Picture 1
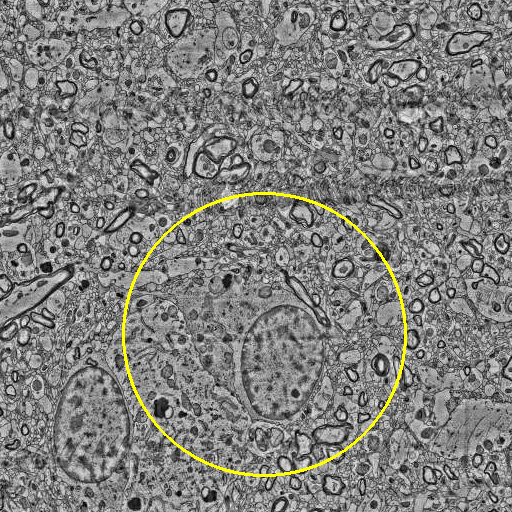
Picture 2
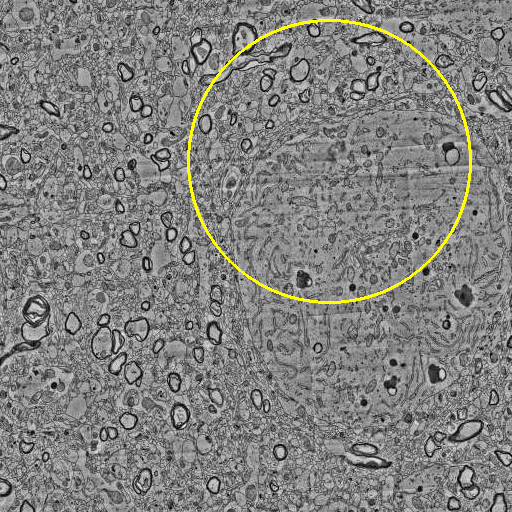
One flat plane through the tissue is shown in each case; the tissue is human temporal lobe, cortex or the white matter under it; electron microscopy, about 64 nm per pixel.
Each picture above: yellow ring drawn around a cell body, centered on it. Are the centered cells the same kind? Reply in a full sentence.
Yes, the two cells are the same kind.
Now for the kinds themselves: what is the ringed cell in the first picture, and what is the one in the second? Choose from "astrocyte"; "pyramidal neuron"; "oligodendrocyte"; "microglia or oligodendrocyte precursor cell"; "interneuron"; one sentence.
The first and the second cell are each an oligodendrocyte.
